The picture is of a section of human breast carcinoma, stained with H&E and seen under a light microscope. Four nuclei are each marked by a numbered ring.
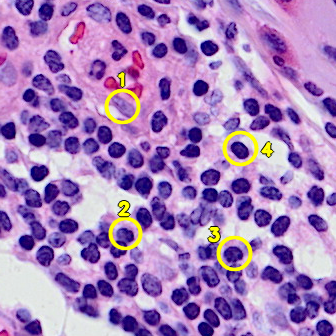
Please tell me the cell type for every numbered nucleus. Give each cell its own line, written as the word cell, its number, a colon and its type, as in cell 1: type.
cell 1: endothelial cell
cell 2: lymphocyte
cell 3: lymphocyte
cell 4: lymphocyte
